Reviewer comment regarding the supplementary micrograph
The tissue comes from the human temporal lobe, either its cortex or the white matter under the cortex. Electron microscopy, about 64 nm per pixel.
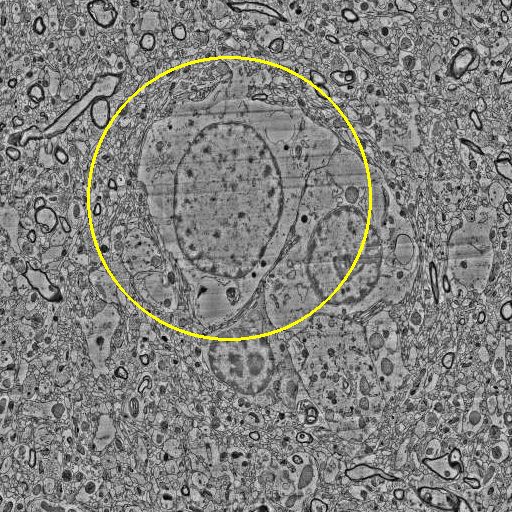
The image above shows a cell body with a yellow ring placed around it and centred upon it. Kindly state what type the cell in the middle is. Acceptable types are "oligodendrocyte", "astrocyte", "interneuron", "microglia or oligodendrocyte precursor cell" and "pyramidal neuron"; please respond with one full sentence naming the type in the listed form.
In the image above, the cell on which the yellow ring is centred is an astrocyte.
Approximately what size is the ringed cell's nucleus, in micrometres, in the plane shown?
Roughly 10 by 7 micrometres is the size of the nucleus in this plane.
